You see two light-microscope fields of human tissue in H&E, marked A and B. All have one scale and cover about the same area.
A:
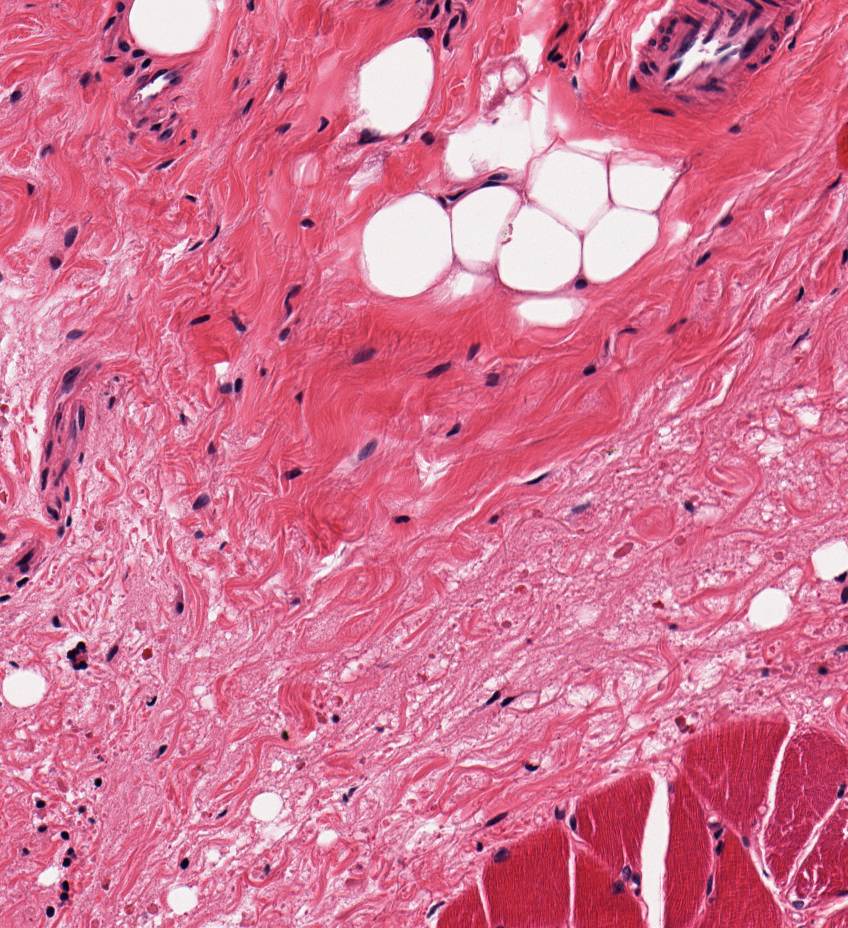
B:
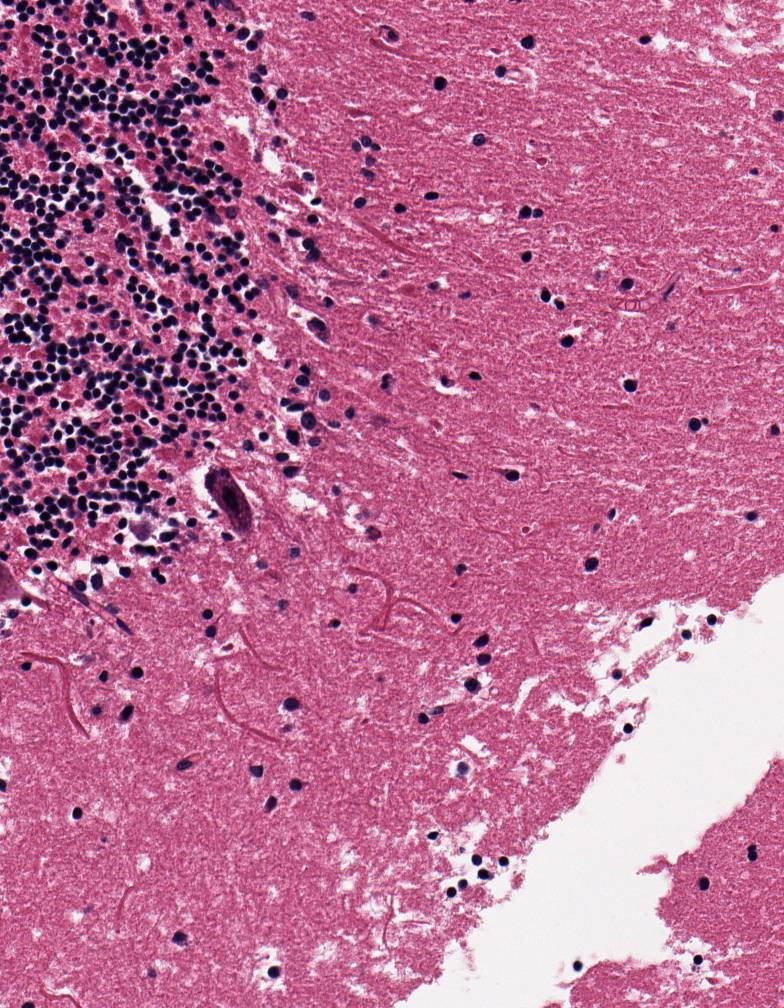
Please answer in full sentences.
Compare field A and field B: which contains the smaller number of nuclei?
Fewer nuclei lie in field A than in field B.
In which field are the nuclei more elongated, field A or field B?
The nuclei are more elongated in field A.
